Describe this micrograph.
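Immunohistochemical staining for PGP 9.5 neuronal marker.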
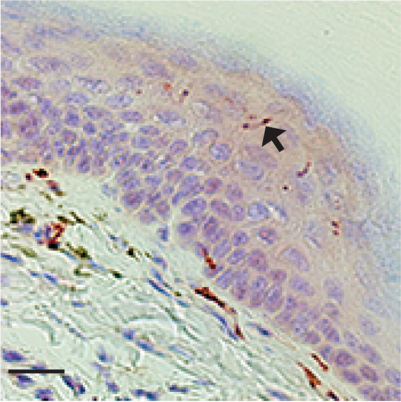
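Skin with a stratified epidermis of many layers of cells with round to oval blue nuclei and pale pink-brown cytoplasm, flattening toward the surface. A small dark brown stained fiber profile lies within the epidermis, and several dark brown-red elongated profiles run in the loose fibrous connective tissue beneath it.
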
